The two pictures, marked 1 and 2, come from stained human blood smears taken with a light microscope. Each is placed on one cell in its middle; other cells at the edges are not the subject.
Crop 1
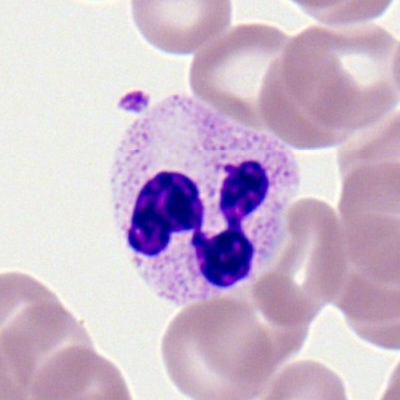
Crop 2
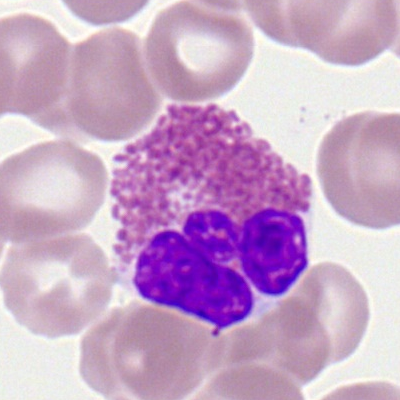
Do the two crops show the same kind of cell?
no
